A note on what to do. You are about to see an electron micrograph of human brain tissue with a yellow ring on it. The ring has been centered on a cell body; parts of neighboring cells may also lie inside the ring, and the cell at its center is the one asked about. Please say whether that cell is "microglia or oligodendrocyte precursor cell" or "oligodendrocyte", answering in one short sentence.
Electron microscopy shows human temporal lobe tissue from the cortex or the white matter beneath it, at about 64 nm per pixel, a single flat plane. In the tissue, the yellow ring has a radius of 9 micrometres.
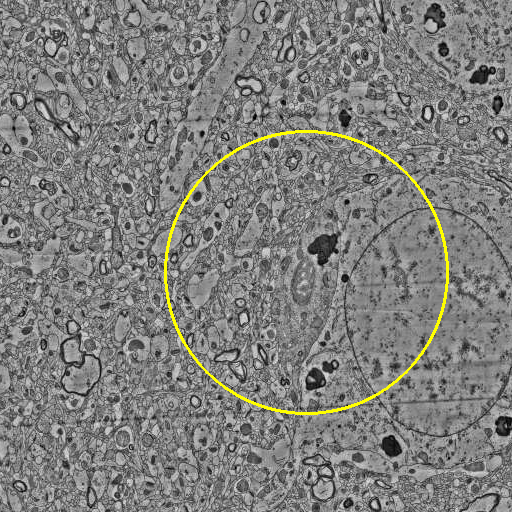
The yellow ring sits on an oligodendrocyte.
